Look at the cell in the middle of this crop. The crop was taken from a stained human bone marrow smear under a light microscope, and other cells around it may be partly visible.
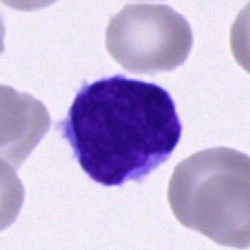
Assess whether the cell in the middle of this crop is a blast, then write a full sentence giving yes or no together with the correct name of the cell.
No, it is not a blast that lies in the middle but a lymphocyte.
